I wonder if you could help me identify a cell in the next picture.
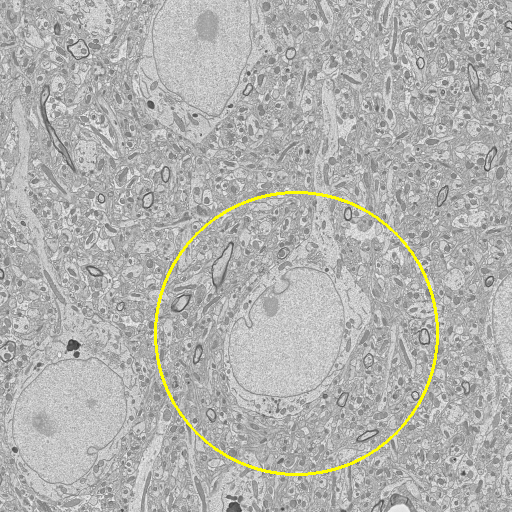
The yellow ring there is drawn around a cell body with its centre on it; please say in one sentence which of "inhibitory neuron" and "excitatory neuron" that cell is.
The yellow ring is centred on an excitatory neuron.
